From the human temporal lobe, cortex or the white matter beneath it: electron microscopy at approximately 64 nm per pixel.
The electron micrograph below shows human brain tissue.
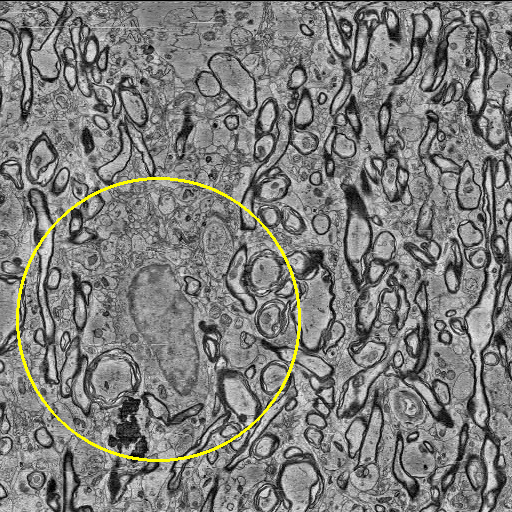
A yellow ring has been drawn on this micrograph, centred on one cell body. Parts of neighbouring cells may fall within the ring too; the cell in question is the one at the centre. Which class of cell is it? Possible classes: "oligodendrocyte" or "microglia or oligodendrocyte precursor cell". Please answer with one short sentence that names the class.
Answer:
In the centre of the ring sits an oligodendrocyte.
